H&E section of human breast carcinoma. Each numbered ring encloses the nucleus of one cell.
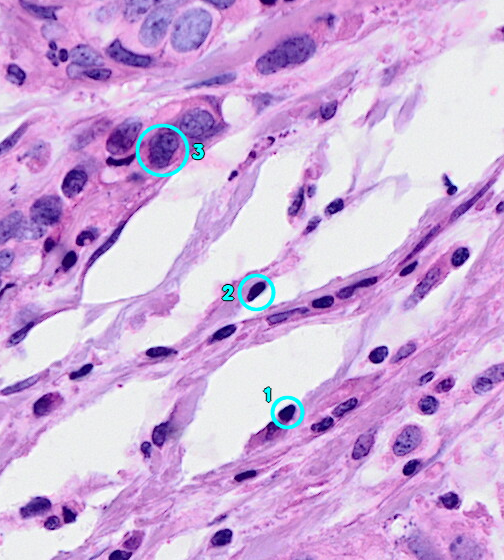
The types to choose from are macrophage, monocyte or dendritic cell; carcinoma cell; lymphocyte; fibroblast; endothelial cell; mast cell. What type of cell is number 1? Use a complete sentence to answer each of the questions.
Cell 1 in the field of view is a lymphocyte.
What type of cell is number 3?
The nucleus labeled 3 belongs to a carcinoma cell.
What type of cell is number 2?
The cell marked with the number 2 is a lymphocyte.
